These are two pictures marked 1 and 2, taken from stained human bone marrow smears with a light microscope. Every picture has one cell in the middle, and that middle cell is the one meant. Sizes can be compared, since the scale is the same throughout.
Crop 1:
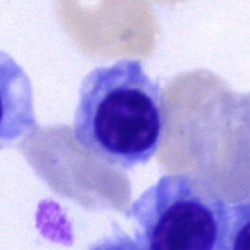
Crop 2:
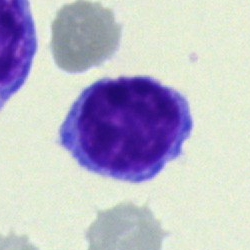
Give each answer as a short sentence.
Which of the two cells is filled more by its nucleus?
In crop 2 the nucleus takes up the larger part of its cell.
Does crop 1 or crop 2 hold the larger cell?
Larger is the cell in crop 2, at roughly 1.5 times the area of the other.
